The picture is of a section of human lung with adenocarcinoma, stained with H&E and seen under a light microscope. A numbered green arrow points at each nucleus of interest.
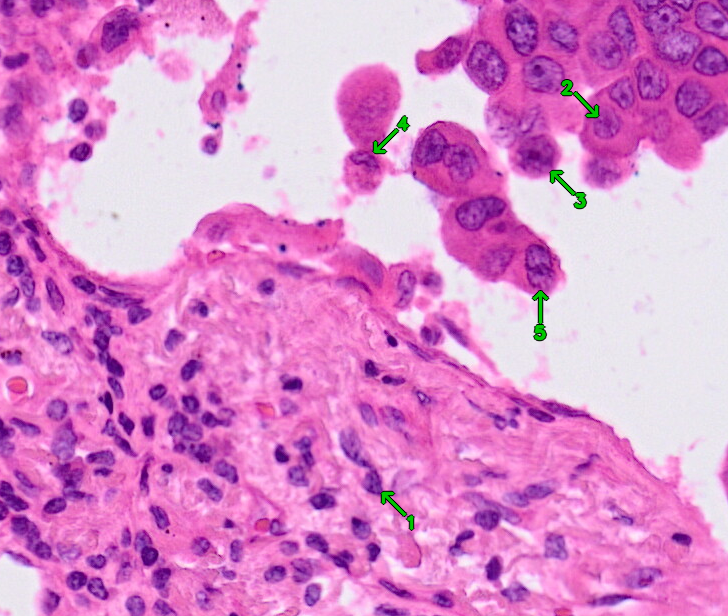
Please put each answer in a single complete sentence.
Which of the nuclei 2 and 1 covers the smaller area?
With nucleus 2 about 1.5 times its size, nucleus 1 is the smaller of the two.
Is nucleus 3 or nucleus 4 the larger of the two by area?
The larger nucleus is 3, at roughly 2.5 times the area of 4.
